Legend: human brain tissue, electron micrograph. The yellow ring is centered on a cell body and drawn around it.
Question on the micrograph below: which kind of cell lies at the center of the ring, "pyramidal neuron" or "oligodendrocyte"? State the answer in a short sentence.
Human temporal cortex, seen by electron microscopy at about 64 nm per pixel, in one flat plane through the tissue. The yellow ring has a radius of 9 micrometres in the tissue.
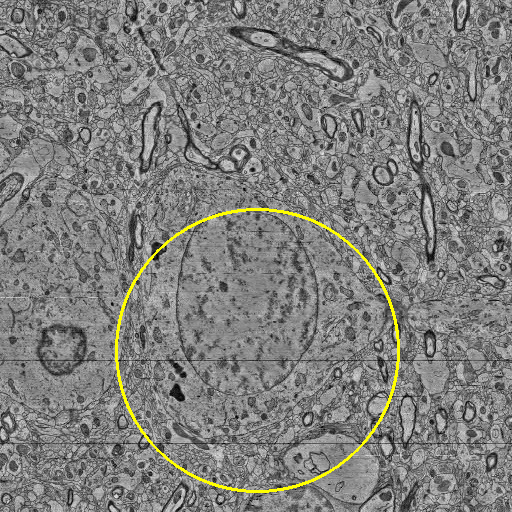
At the center of the ring lies a pyramidal neuron.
